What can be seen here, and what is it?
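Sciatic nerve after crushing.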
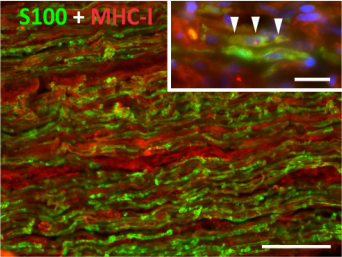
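Green, wavy, elongated profiles run in parallel bands from side to side across the field. Red labelling is spread between and along these profiles, giving a yellowish tone where the two overlap. In the inset an elongated green cell with a blue nucleus lies along a fibre.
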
